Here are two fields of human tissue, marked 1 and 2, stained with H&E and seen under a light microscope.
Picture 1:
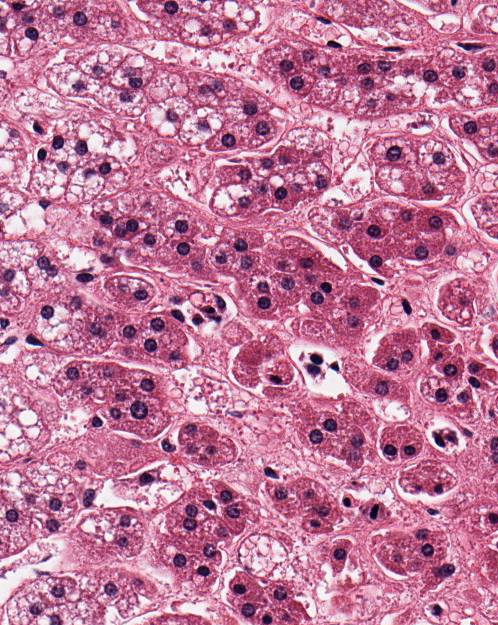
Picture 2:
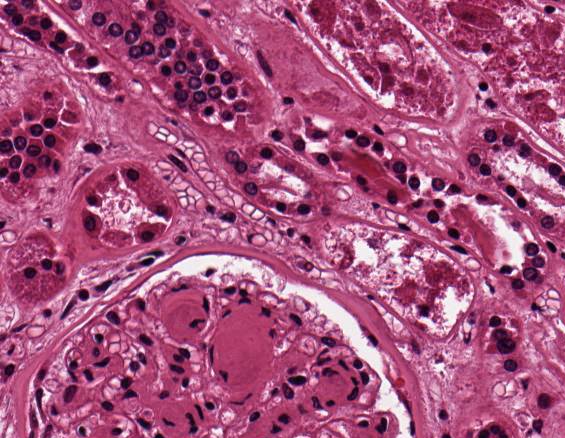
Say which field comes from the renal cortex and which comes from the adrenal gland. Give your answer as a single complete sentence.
Picture 1 comes from the adrenal gland and picture 2 comes from the renal cortex.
